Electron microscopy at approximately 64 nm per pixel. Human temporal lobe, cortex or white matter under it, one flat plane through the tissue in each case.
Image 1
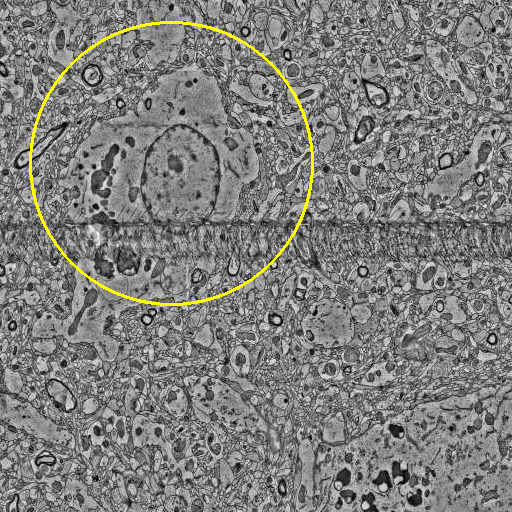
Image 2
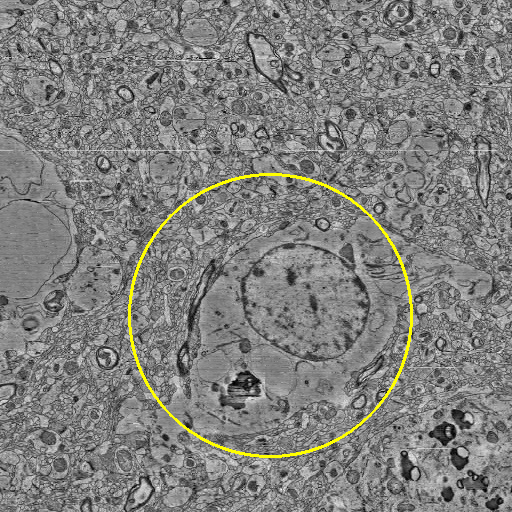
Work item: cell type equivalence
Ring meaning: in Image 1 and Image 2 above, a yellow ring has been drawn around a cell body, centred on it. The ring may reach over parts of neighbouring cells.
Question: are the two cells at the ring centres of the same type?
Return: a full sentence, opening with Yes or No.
Yes, the two centred cells are of the same type.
